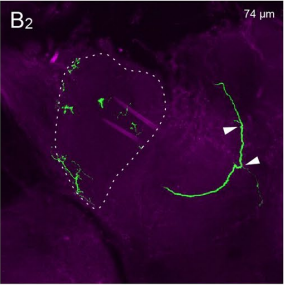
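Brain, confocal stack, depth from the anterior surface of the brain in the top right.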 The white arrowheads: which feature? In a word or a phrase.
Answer: Bifurcation of an axon.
